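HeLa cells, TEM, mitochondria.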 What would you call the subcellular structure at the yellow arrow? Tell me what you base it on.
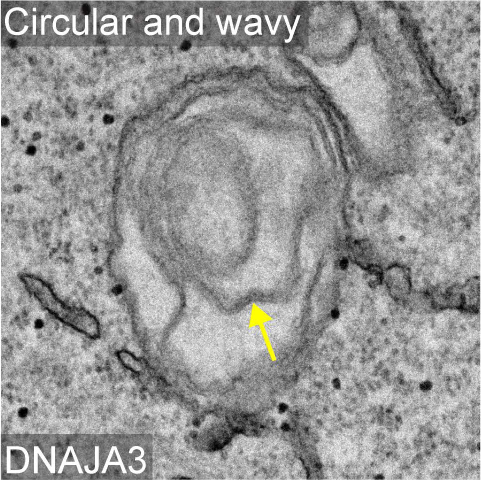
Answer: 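The arrow points to an inner membrane fold inside a double-membraned organelle. The inner membranes form concentric curved bands.
Conclusion: cristae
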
